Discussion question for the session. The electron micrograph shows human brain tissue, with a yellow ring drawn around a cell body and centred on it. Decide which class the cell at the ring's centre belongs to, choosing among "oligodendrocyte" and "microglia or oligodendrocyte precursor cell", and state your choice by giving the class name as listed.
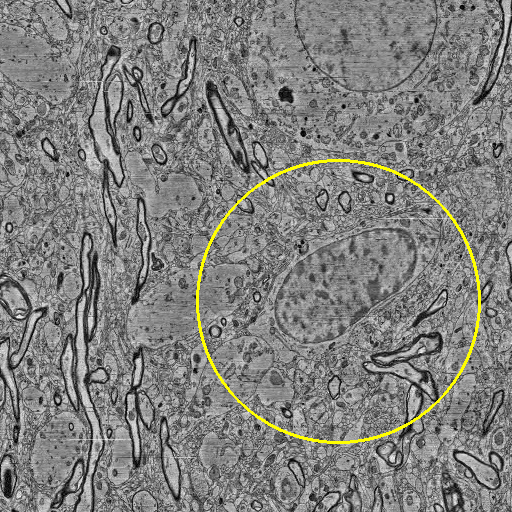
microglia or oligodendrocyte precursor cell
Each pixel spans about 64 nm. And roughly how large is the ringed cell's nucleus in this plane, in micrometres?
Approximately 10 by 5 micrometers in this plane.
